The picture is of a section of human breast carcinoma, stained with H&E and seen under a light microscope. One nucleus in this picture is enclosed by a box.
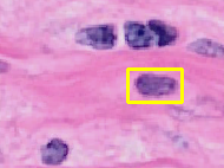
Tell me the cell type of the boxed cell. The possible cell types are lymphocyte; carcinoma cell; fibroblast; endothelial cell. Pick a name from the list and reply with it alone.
lymphocyte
